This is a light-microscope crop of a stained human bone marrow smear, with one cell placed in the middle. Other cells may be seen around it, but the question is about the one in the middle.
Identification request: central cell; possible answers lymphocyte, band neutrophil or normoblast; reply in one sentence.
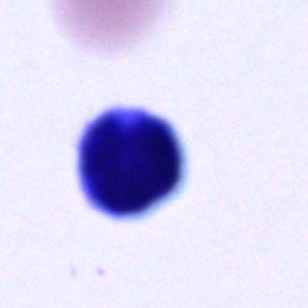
Standing at the centre of this crop is a lymphocyte.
